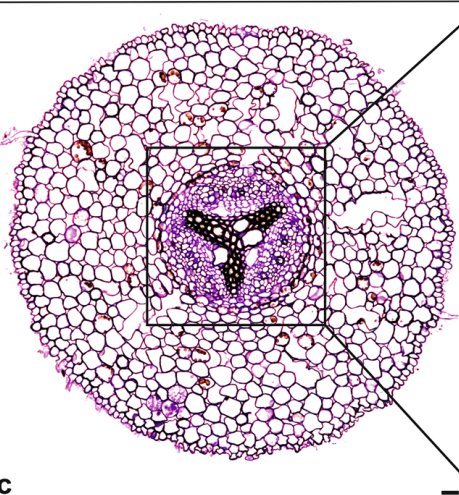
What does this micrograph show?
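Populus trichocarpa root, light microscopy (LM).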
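A transverse section of a young root shows a broad cortex of large, rounded, thin-walled parenchyma cells surrounding a compact central cylinder. In the middle of the cylinder a dark, three-armed band of thick-walled xylem cells stands out, flanked by small, densely stained cells. Scattered cells in the cortex carry dark brownish contents.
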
